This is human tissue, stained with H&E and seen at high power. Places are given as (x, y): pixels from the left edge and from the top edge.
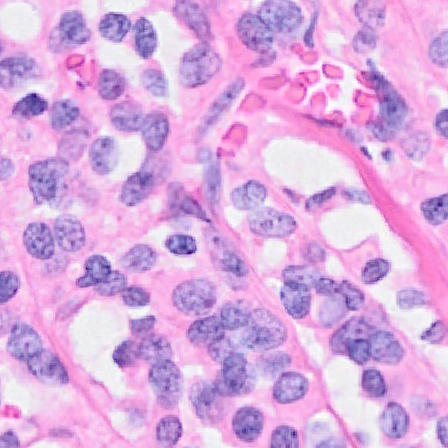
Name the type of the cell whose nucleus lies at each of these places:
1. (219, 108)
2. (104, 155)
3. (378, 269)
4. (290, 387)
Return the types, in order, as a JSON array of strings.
["endothelial cell", "carcinoma cell", "carcinoma cell", "carcinoma cell"]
